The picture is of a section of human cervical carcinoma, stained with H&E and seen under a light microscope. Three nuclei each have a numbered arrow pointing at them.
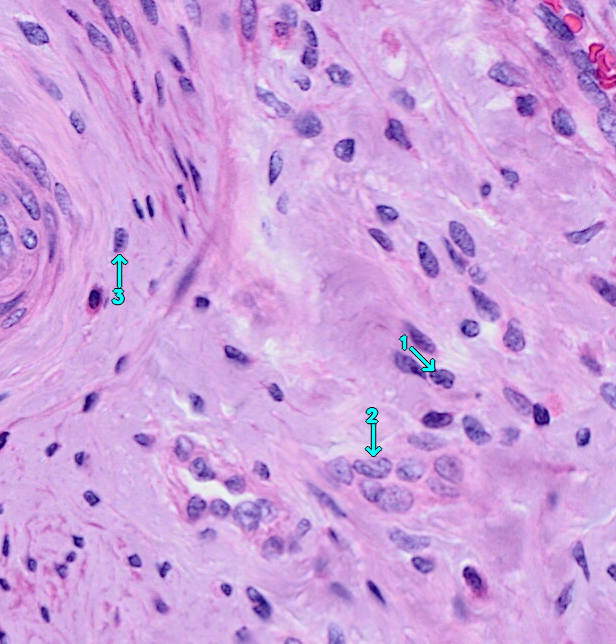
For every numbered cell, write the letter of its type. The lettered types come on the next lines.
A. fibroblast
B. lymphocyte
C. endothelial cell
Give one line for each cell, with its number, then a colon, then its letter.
1: B
2: C
3: A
